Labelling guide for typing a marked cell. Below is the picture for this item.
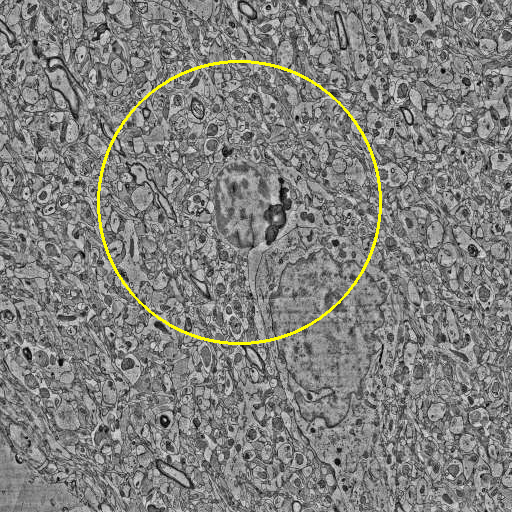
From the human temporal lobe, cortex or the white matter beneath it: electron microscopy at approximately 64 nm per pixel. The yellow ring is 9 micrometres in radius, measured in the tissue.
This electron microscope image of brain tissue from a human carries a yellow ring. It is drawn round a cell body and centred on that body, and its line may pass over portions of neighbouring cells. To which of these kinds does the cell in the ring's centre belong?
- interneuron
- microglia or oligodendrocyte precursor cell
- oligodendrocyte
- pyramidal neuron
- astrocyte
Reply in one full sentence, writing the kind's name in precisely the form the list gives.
Here we have an oligodendrocyte at the centre of the yellow ring in the picture.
